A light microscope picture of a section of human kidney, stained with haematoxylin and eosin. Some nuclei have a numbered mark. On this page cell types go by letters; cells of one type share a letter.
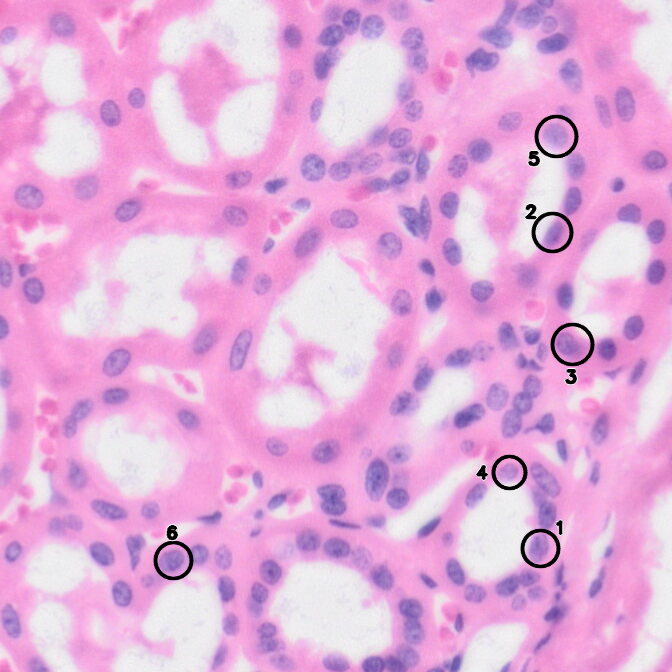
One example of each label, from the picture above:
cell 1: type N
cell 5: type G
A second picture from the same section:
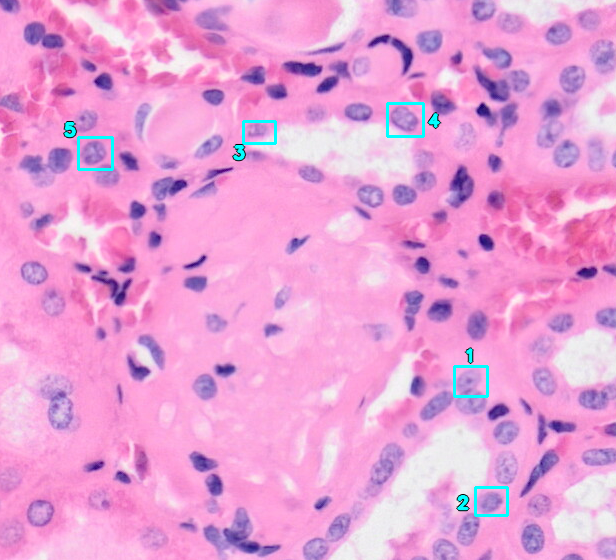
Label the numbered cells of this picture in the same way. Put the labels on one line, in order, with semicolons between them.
type N; type N; type G; type G; type G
